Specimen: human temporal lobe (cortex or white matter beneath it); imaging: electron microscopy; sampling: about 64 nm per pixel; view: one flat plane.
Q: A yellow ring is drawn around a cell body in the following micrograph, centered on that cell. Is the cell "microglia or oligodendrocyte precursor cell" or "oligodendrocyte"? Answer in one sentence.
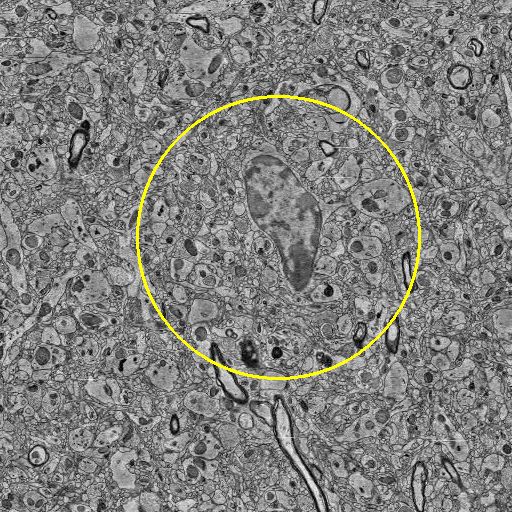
The cell in the center of the ring is a microglial cell or oligodendrocyte precursor cell.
